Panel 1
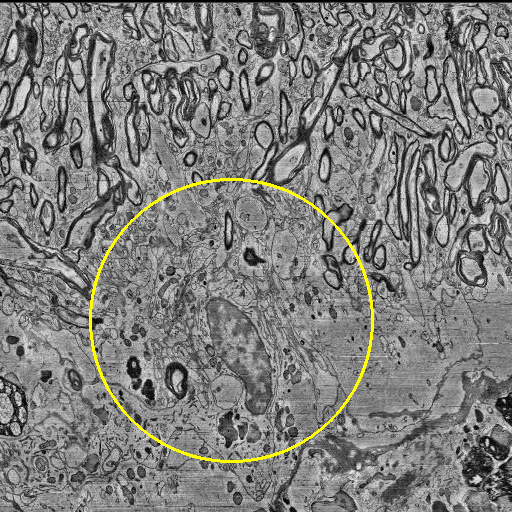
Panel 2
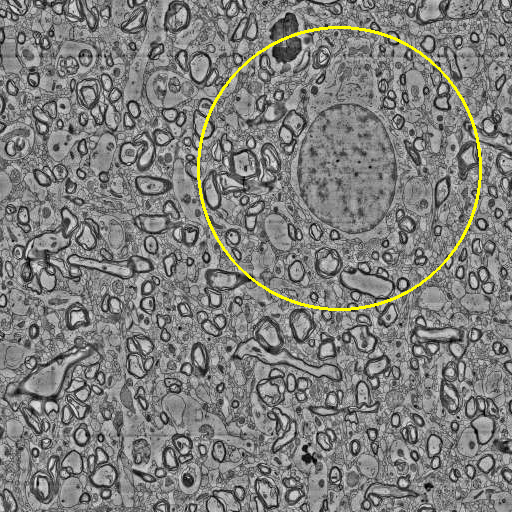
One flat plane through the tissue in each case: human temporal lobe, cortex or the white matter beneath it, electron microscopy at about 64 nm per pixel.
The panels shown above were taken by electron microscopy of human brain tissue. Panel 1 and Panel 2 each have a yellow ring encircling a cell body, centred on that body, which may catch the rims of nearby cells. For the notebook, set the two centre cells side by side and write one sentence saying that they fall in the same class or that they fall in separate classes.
The centred cells of Panel 1 and Panel 2 fall in the same class.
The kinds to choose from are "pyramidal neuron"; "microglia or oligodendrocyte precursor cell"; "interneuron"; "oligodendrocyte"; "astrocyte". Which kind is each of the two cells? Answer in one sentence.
Each of the ringed cells, first and second, is a microglial cell or oligodendrocyte precursor cell.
